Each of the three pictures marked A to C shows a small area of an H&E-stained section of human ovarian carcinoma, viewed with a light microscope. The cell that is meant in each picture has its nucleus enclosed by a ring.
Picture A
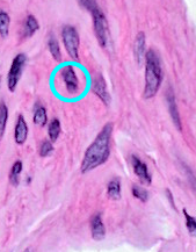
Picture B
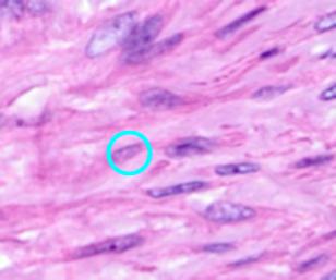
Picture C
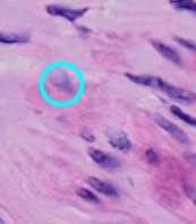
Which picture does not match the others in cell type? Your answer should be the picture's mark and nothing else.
B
